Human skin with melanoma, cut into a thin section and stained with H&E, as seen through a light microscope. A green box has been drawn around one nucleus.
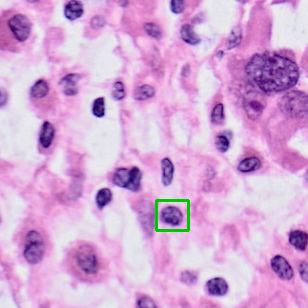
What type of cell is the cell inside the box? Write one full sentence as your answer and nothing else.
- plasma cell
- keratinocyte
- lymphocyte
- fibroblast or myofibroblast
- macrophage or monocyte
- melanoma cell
In the stained section, the cell inside the box is a lymphocyte.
